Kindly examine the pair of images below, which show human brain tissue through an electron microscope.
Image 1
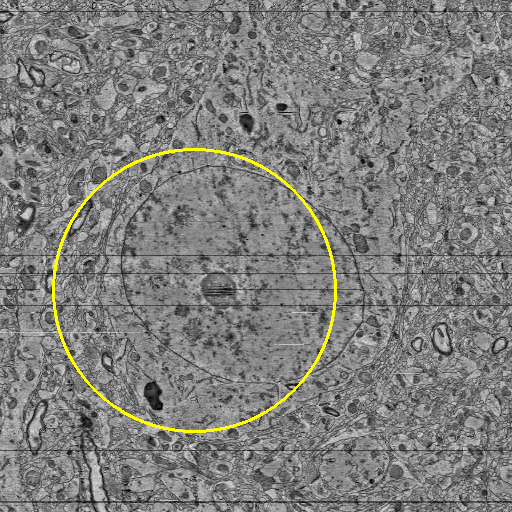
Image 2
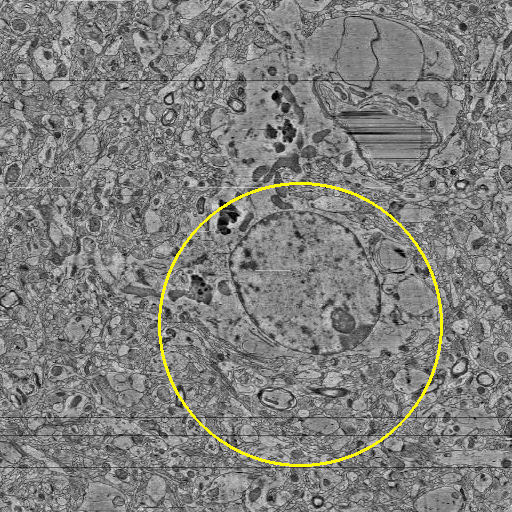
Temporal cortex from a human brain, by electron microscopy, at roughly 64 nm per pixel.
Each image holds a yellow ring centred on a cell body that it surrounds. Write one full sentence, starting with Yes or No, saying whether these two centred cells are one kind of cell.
No, the cells at the centres of the yellow rings belong to two kinds of cell.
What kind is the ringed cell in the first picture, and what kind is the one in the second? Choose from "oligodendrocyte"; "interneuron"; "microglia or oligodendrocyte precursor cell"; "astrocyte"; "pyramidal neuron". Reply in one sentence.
The first cell is a pyramidal neuron; the second is an astrocyte.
